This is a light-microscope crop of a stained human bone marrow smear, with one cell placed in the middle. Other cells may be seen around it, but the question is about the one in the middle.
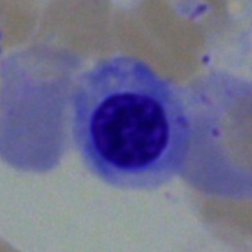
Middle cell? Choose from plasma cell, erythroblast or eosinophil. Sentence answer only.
The central element of this crop is a cell, namely an erythroblast.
